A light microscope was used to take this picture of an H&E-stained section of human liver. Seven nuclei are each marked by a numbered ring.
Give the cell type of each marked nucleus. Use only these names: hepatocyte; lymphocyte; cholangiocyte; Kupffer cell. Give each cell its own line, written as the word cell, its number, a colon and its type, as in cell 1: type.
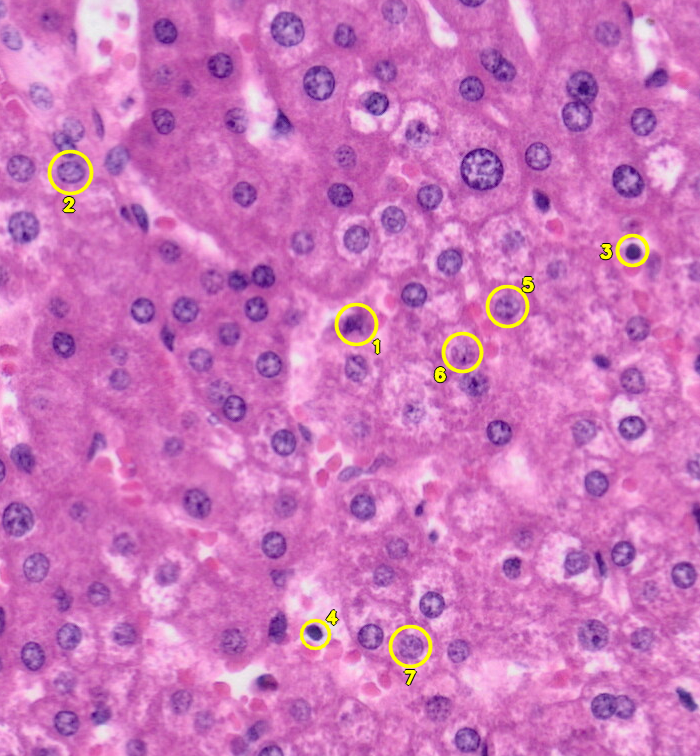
cell 1: Kupffer cell
cell 2: cholangiocyte
cell 3: lymphocyte
cell 4: lymphocyte
cell 5: hepatocyte
cell 6: hepatocyte
cell 7: hepatocyte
